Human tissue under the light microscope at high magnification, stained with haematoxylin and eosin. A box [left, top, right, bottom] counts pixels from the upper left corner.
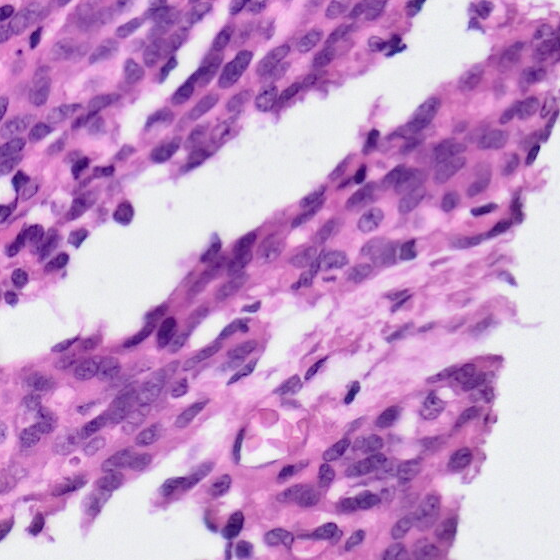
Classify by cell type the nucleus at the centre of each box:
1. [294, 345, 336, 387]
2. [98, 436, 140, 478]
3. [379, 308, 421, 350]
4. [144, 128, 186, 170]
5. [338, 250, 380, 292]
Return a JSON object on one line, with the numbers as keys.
{"1": "fibroblast", "2": "carcinoma cell", "3": "fibroblast", "4": "carcinoma cell", "5": "carcinoma cell"}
